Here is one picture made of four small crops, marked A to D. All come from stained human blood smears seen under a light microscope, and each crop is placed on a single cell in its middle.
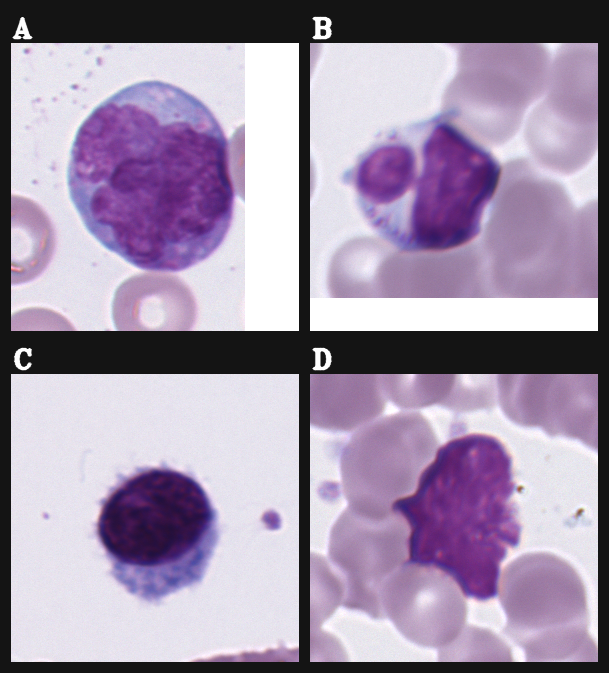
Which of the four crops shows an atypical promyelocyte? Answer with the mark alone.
A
